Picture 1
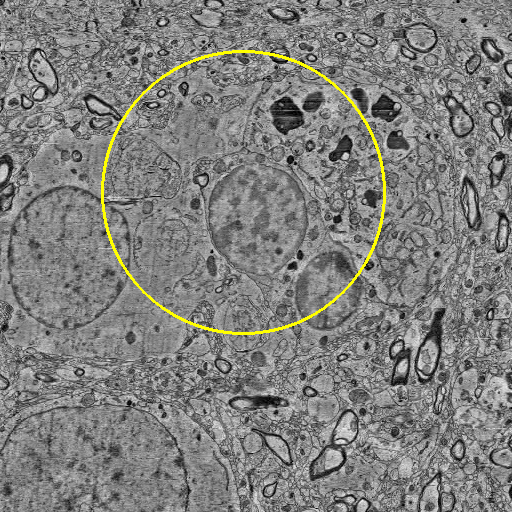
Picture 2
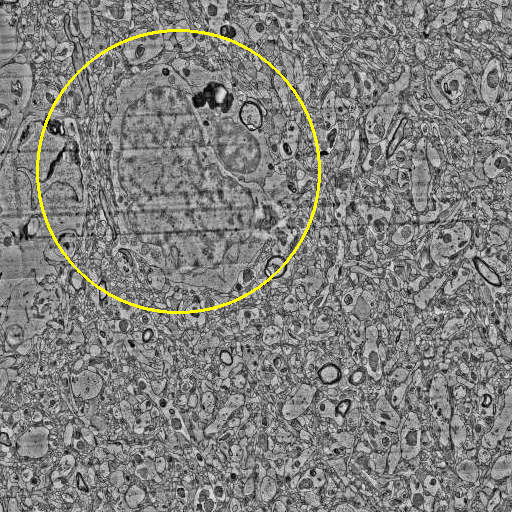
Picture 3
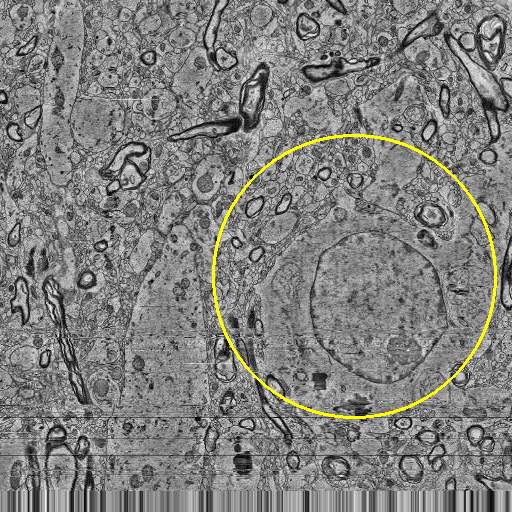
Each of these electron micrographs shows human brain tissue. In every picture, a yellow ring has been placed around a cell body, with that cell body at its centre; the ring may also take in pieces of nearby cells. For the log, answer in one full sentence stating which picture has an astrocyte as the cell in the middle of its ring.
In picture 3, the cell at the centre of the yellow ring is the requested one.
